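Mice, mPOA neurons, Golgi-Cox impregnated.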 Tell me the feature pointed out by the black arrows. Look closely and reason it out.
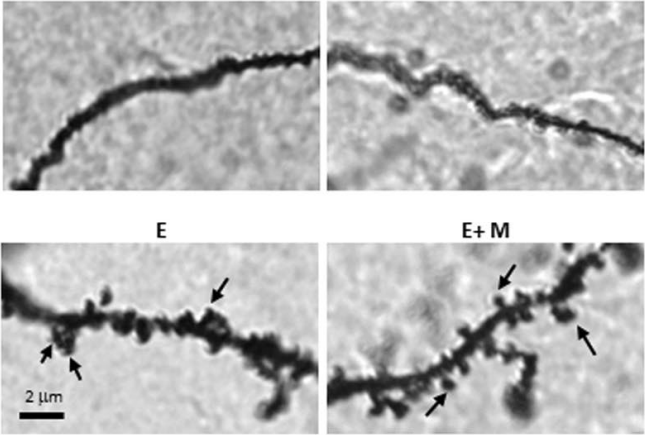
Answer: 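The arrows point to small protrusions along a dark-impregnated dendrite. The marked protrusions have rounded, enlarged heads wider than their bases.
Mushroom dendritic spines.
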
